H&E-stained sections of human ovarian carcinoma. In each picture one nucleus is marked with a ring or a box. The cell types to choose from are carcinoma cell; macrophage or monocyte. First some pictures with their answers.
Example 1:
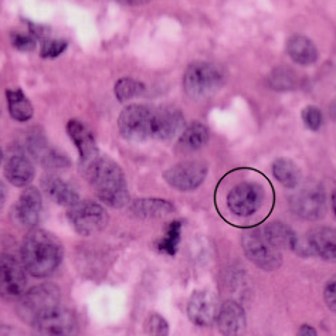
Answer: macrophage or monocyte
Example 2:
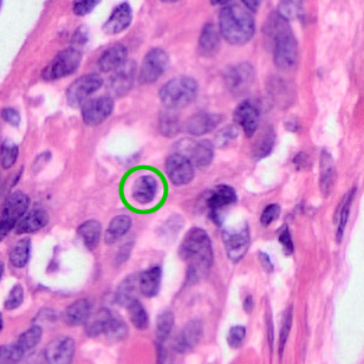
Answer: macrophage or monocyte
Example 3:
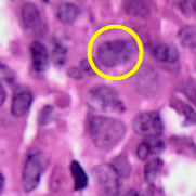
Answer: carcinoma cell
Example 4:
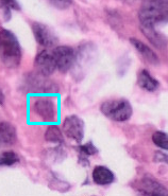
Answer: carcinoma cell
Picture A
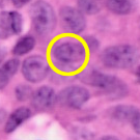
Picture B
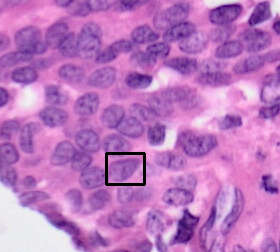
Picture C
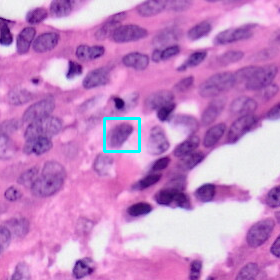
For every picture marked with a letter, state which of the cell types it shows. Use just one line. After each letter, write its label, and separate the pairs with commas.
A carcinoma cell, B carcinoma cell, C macrophage or monocyte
